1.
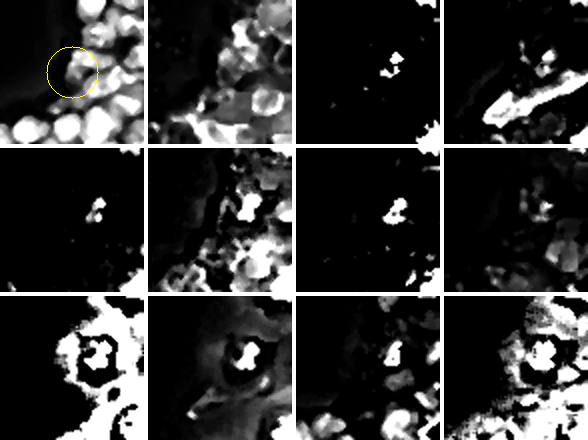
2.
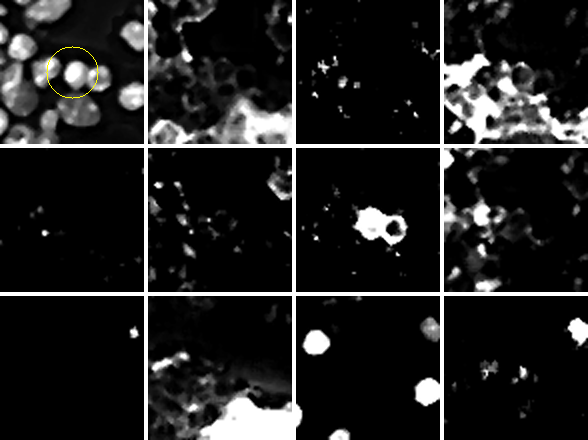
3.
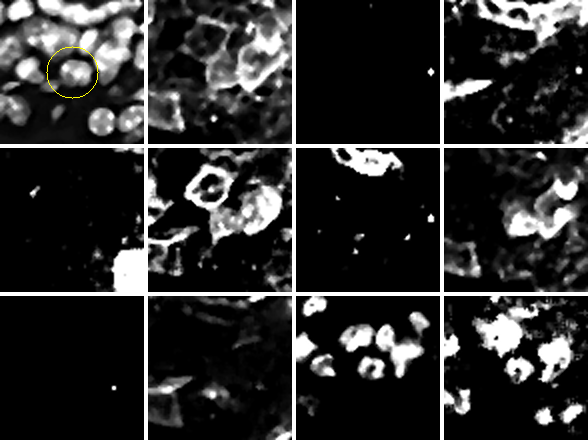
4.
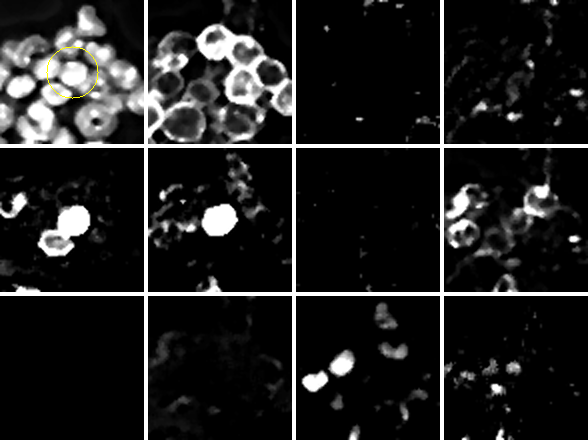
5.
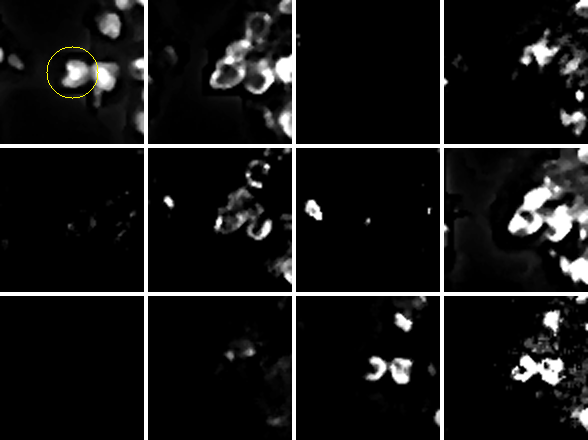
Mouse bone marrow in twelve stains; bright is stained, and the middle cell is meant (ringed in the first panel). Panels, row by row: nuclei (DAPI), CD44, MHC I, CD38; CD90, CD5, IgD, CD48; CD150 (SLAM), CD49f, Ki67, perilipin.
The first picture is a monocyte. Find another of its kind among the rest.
Picture 5.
